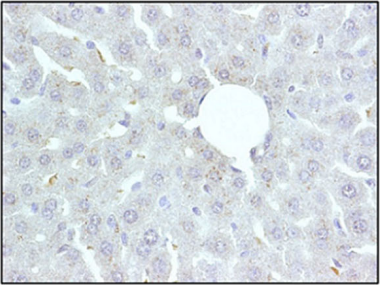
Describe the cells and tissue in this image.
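Liver parenchyma is shown around a central empty vessel lumen, with hepatocytes arranged in cords separated by narrow sinusoidal spaces. The hepatocytes are polygonal with round, pale blue nuclei and pale, lightly grey-blue cytoplasm. Brown staining is almost absent, apart from a few small scattered brown dots along the sinusoids.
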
